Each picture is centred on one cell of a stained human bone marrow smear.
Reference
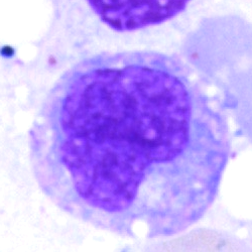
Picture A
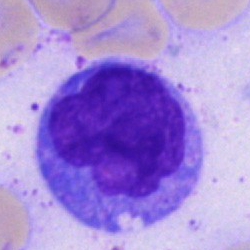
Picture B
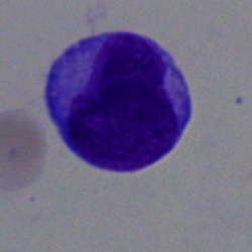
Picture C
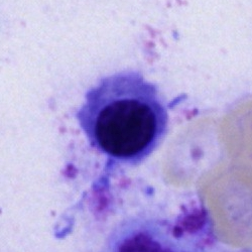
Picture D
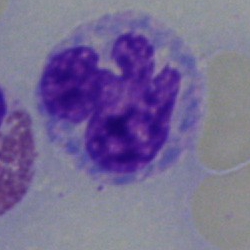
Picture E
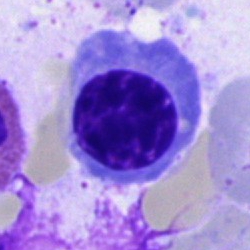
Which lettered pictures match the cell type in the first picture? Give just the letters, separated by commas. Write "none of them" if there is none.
A, D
